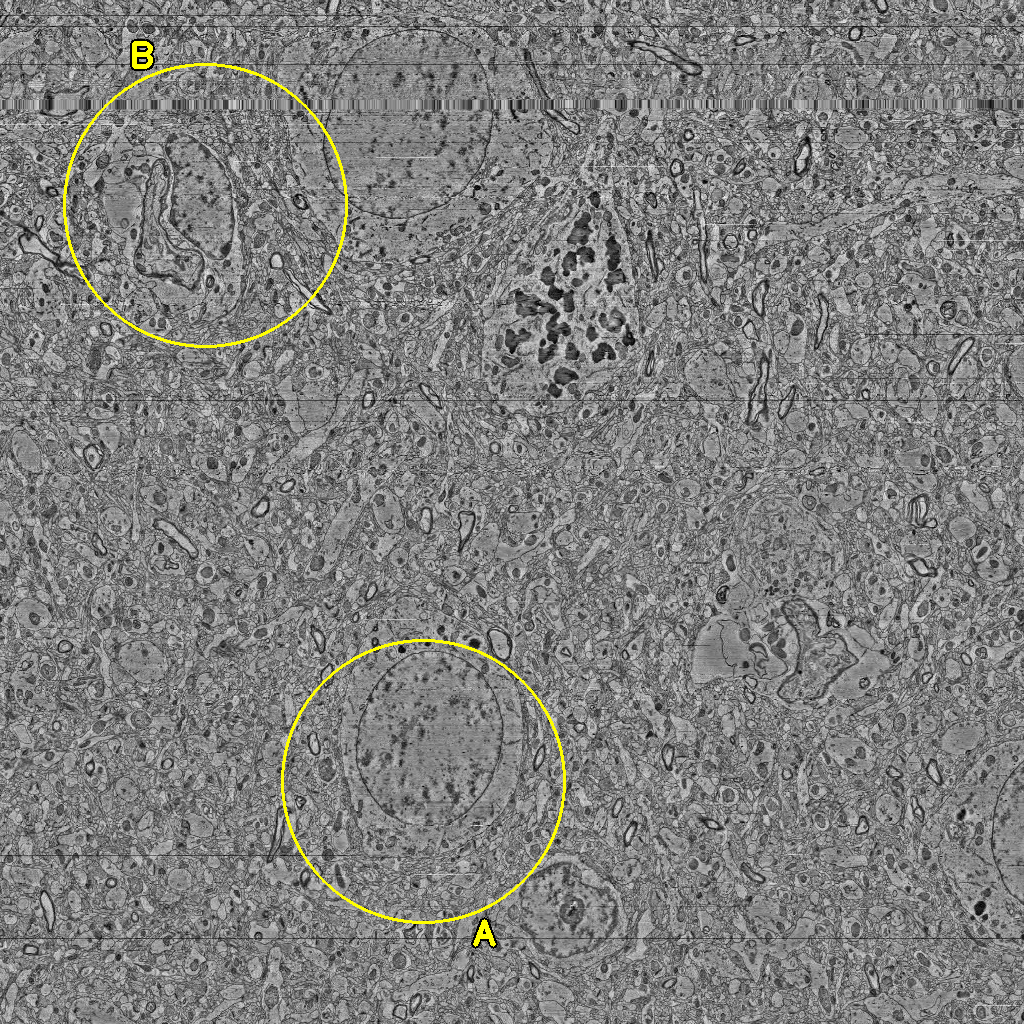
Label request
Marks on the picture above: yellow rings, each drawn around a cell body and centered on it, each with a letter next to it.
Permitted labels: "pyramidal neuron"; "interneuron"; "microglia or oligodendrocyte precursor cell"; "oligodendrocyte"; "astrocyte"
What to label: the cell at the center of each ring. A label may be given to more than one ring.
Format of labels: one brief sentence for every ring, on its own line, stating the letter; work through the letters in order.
The cell at the center of ring A is a pyramidal neuron.
The cell at the center of ring B is a microglial cell or oligodendrocyte precursor cell.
